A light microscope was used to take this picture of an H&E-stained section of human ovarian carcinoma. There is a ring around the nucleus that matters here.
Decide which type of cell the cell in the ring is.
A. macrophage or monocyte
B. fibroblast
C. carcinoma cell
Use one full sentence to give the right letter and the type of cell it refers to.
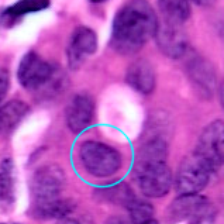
Here the correct option is C, since the cell in the ring is a carcinoma cell.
